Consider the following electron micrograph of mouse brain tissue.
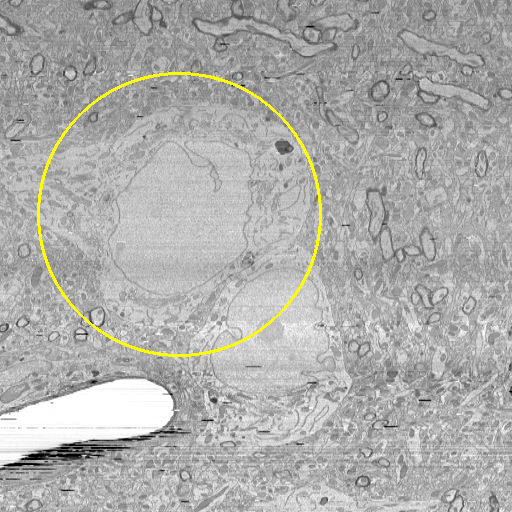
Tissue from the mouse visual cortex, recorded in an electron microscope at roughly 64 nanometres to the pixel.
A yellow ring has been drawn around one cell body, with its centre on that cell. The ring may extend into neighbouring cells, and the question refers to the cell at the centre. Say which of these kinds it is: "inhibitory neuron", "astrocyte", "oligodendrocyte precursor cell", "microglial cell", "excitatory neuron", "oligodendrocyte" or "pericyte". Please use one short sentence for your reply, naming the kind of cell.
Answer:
The centre of the ring falls on an excitatory neuron.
